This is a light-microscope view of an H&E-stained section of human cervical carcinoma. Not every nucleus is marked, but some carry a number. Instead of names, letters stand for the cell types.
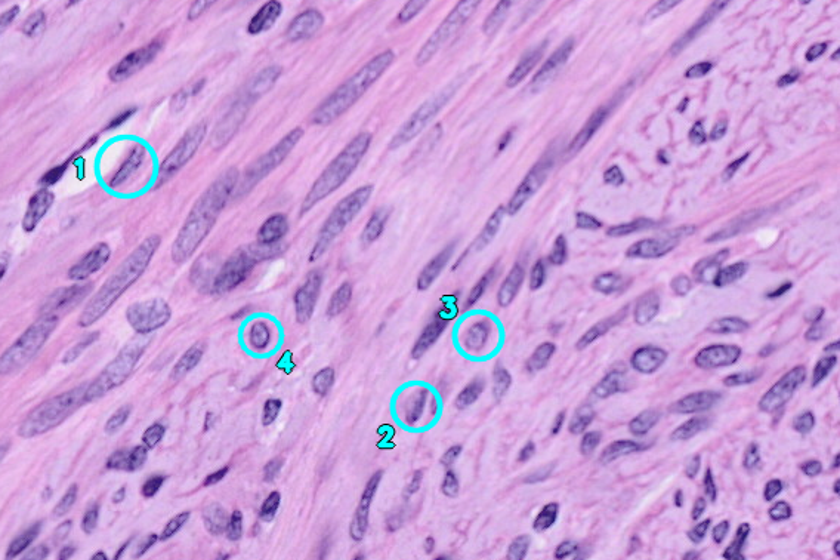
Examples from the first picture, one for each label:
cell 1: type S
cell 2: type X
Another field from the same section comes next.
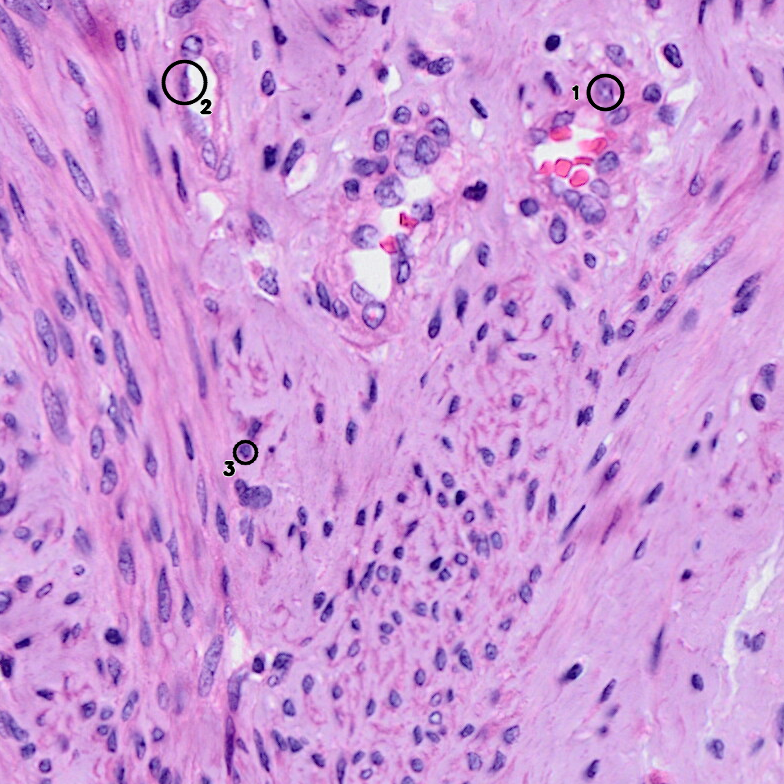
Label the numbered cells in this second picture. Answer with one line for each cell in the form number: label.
1: type S
2: type S
3: type X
